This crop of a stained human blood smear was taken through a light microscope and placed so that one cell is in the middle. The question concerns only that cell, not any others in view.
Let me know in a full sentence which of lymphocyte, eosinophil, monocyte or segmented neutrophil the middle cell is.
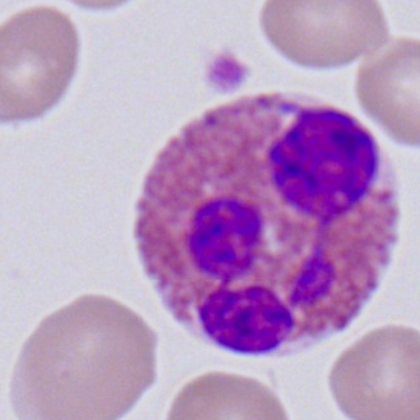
To answer, the cell in the center of the crop is an eosinophil.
